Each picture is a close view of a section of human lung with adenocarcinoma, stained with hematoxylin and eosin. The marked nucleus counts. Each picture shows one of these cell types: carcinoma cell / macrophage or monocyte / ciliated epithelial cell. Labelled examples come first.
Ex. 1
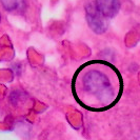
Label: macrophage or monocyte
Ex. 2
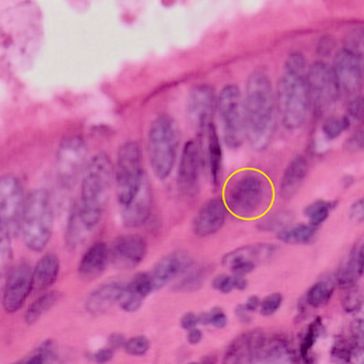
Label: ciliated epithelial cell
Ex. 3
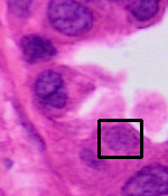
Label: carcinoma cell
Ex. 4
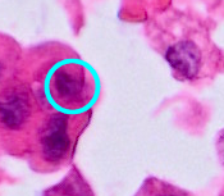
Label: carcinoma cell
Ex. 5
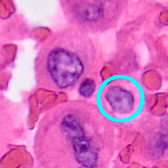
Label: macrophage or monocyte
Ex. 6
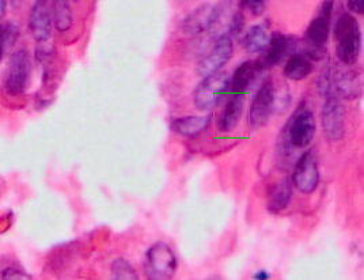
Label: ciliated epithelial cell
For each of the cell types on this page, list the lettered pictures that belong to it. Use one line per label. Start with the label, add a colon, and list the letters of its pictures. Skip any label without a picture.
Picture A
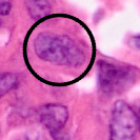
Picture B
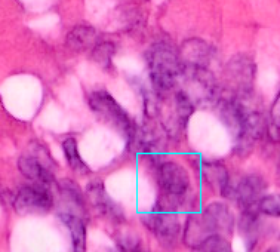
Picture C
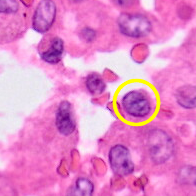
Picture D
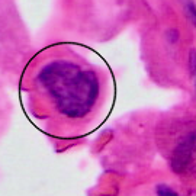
carcinoma cell: A, D
macrophage or monocyte: C
ciliated epithelial cell: B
